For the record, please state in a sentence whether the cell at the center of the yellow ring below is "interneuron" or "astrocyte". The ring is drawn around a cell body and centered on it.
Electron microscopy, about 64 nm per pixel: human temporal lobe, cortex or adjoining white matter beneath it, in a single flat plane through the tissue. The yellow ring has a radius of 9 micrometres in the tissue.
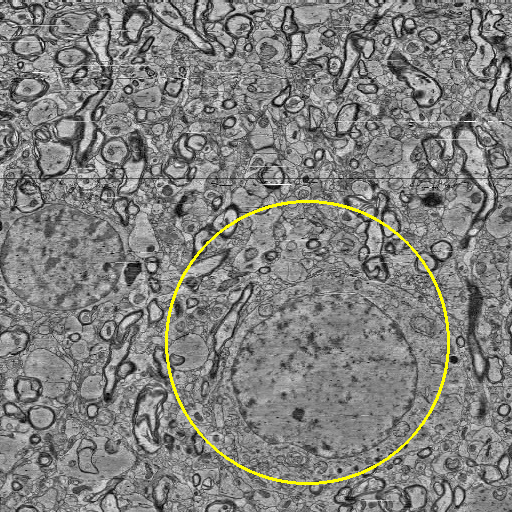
The cell at the ring's center is an interneuron.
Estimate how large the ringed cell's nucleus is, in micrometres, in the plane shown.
In this plane the ringed cell's nucleus is roughly 11 micrometres across.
